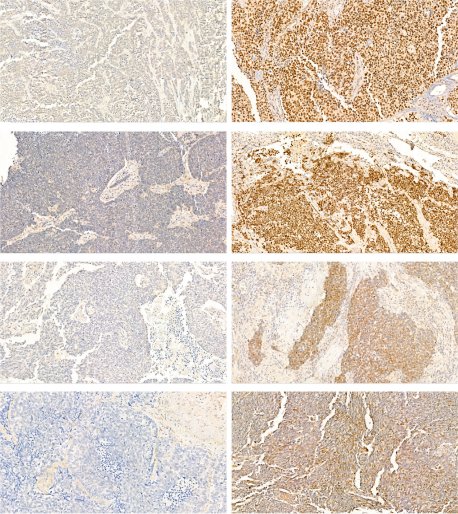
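This block shows several fields of a densely cellular tumor, growing in solid sheets and broad trabeculae of small, crowded cells with scant cytoplasm. Thin strands of paler fibrous stroma and cleft-like spaces separate the tumor nests. In some fields the tumor cell nuclei are almost all stained deep brown, so that the sheets look uniformly brown and granular. In other fields the same kind of tumor shows only the blue-grey counterstain, with little or no brown. Some fields show a paler, more diffuse brown tint over whole tumor areas rather than crisp nuclear staining.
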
